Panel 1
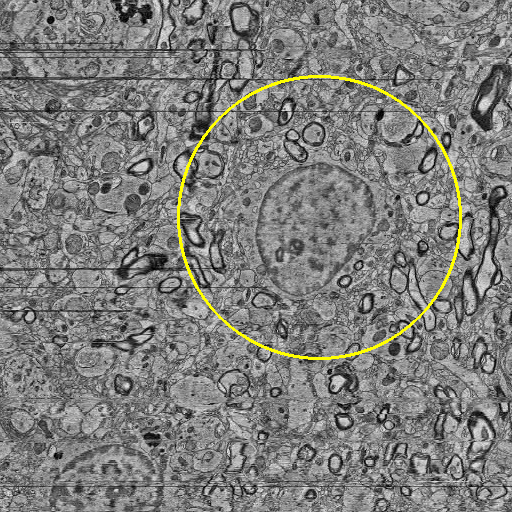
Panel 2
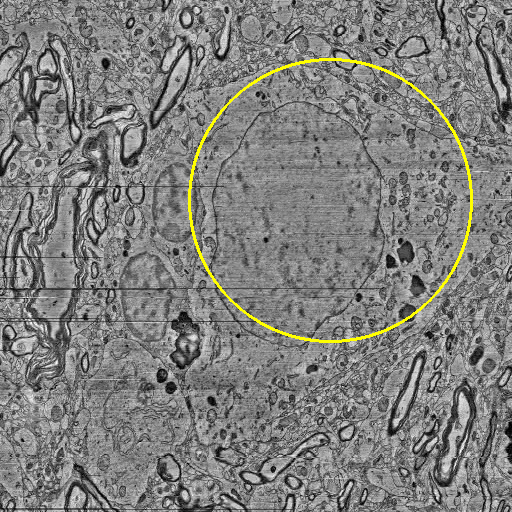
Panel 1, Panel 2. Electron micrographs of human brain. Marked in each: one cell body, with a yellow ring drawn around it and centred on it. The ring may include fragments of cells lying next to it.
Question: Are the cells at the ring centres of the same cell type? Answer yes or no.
no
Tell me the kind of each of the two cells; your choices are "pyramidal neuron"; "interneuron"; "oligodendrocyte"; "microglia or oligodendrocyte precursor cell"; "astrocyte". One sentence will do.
The ringed cell is an oligodendrocyte in the first picture and a pyramidal neuron in the second picture.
